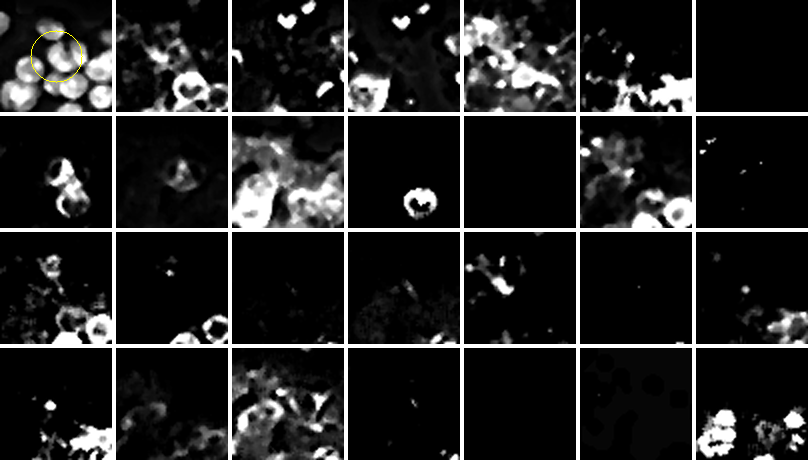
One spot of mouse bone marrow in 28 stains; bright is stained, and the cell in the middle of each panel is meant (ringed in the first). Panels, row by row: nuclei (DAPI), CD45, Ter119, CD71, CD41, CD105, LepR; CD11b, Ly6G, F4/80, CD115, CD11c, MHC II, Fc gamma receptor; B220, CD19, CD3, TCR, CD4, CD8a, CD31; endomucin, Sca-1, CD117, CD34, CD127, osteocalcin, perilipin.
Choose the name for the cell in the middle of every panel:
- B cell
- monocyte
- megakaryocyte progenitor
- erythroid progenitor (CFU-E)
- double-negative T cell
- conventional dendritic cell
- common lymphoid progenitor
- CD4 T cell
megakaryocyte progenitor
